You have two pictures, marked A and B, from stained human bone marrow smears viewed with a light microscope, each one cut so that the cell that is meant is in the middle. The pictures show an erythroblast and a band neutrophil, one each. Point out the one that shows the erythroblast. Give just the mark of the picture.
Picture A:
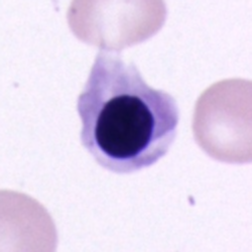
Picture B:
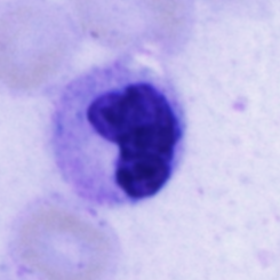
A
